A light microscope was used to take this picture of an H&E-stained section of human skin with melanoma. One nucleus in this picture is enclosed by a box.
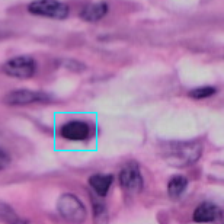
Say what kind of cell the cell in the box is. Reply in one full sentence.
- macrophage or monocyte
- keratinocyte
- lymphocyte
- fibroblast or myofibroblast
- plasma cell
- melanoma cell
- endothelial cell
For the purposes of cell typing, the cell in the box is categorized as a plasma cell.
